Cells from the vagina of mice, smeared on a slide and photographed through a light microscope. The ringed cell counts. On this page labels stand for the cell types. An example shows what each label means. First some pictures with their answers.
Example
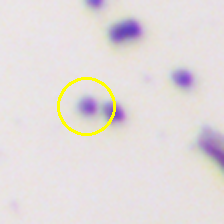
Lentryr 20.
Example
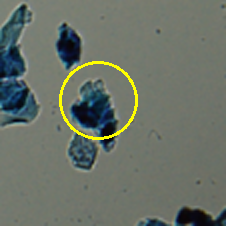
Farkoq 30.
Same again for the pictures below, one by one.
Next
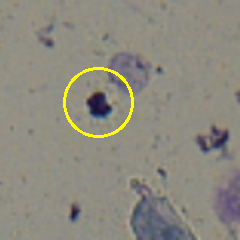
Lentryr 20.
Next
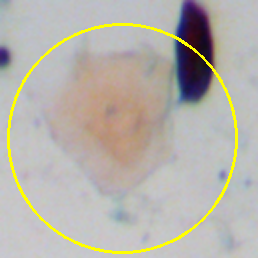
Farkoq 30.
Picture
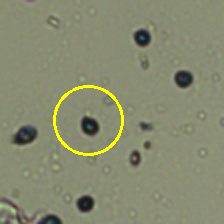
Lentryr 20.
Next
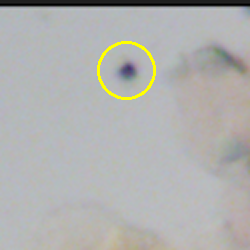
Lentryr 20.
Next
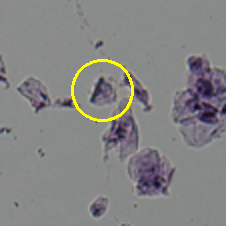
Farkoq 30.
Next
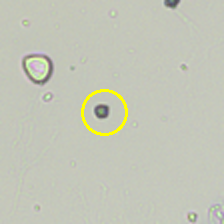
Lentryr 20.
